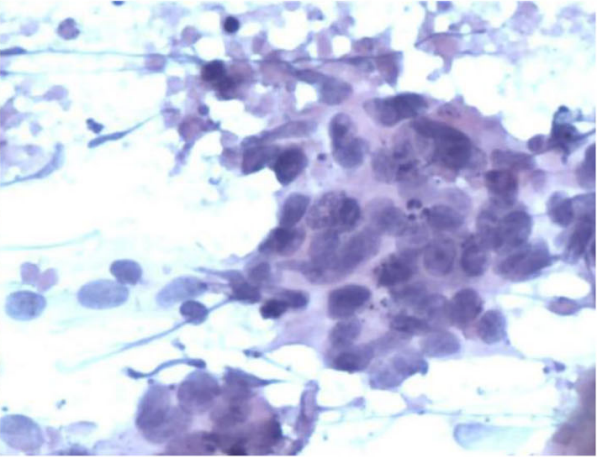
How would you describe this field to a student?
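This smear shows a cluster of poorly differentiated cancer cells. The cytoplasm is pale purple and the cell borders are indistinct. Around the cluster lie scattered single cells and strands of pale material on a light background.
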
